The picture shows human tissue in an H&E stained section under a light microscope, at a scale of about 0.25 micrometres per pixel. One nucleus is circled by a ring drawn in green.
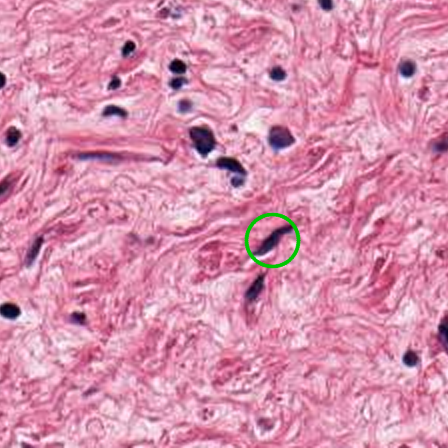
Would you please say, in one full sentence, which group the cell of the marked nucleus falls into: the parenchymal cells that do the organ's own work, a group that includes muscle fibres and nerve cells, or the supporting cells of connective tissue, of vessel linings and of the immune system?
The nucleus that is marked belongs to a supporting cell.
